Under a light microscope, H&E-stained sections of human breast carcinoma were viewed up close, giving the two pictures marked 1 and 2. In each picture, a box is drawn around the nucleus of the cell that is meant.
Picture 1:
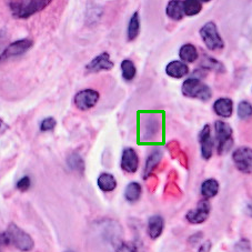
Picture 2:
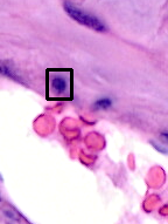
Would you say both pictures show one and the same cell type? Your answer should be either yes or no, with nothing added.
yes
